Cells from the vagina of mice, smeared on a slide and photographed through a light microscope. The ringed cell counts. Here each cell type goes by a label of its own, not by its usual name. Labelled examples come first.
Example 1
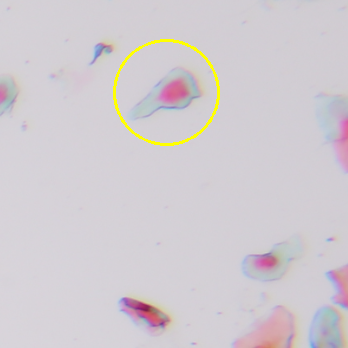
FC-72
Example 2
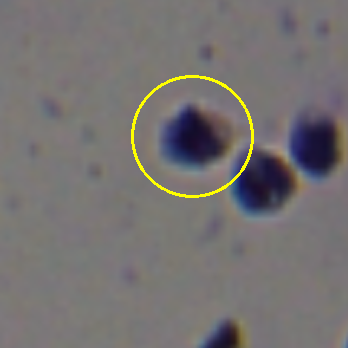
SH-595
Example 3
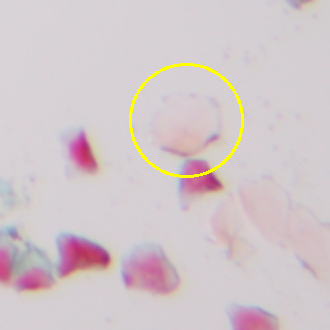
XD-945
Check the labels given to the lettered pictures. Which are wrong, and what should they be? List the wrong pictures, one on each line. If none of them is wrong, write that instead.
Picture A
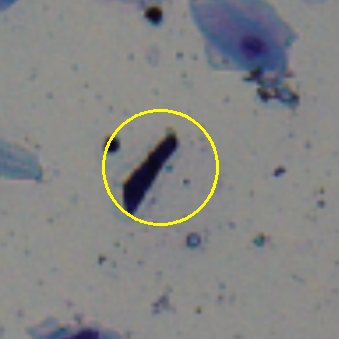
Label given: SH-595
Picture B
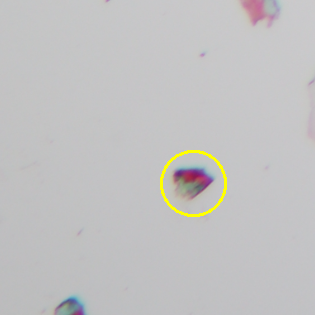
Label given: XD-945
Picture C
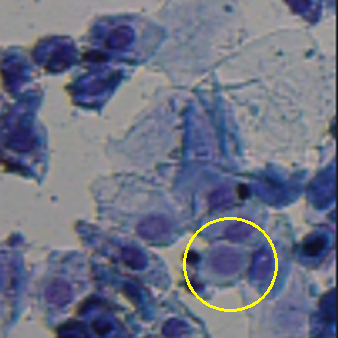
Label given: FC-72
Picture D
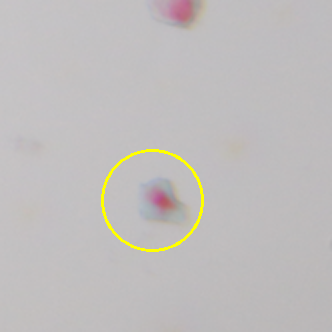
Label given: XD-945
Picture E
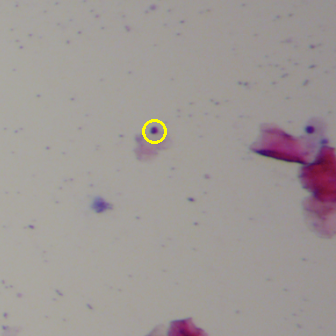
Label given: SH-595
Wrong: A (SH-595); correct: XD-945
Wrong: D (XD-945); correct: FC-72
